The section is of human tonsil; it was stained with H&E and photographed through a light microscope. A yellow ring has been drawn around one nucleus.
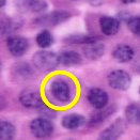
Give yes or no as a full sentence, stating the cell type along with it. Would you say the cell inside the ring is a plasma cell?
Yes, a plasma cell is the identity of the cell inside the ring in this section.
